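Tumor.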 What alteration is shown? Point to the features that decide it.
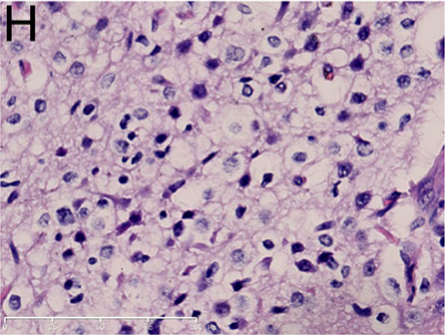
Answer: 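Round nuclei each sit in a clear space of cytoplasm. Cells are packed closely, giving a honeycomb pattern. Nuclei are fairly uniform in size and round. That points to this answer: perinuclear halos.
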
